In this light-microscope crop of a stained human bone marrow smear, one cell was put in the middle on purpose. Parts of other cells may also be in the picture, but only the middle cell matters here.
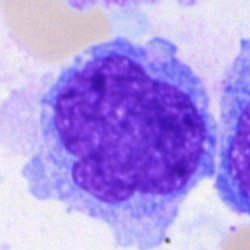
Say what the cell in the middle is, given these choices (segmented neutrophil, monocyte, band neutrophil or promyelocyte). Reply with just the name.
monocyte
